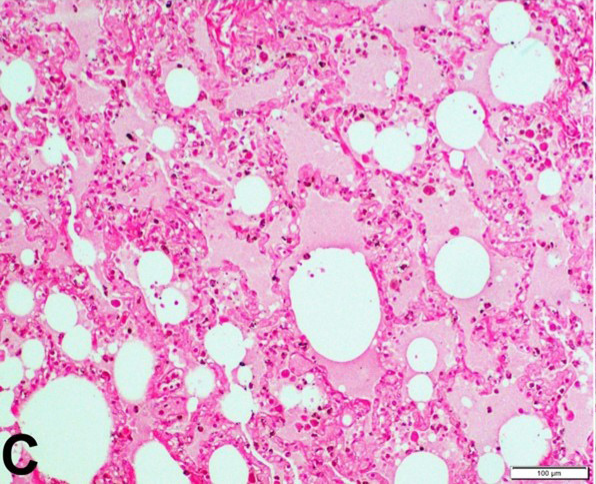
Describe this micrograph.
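This is lung tissue in which the alveolar spaces, instead of being empty, are filled with pale pink, smooth, homogeneous material. Round, sharply edged clear holes of varying size sit within the pink material, like trapped air bubbles.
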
